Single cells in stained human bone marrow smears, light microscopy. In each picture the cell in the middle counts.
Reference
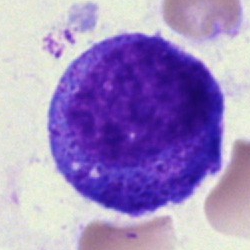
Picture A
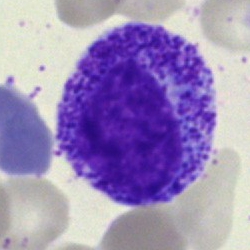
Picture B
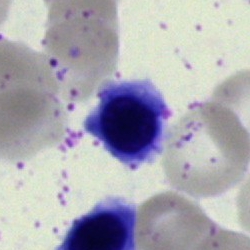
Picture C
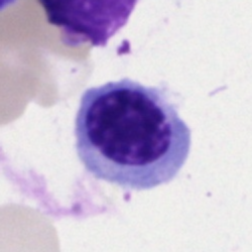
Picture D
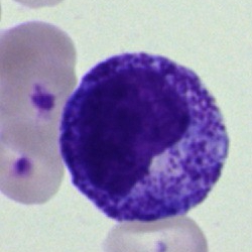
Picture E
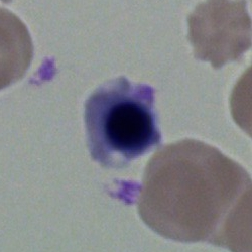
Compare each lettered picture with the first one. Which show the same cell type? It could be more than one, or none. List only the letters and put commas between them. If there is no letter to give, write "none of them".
A, D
